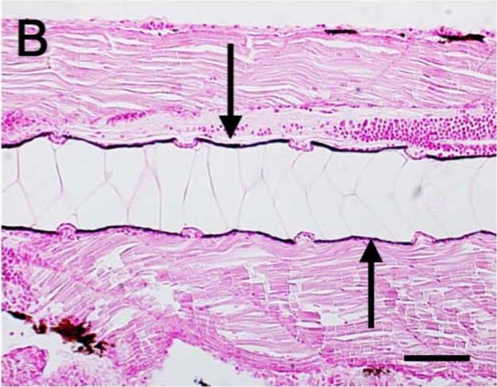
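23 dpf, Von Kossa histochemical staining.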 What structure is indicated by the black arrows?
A: mineral deposits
